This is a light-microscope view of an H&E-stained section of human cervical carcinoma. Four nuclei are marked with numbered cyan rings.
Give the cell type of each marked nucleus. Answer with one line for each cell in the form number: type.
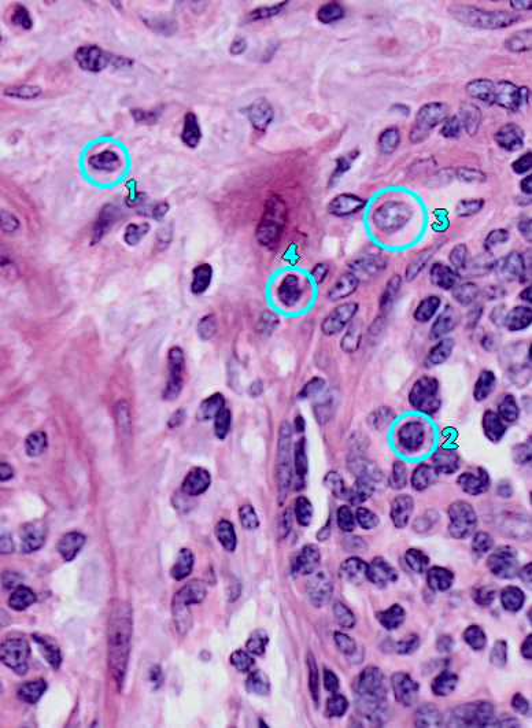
1: lymphocyte
2: lymphocyte
3: endothelial cell
4: lymphocyte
